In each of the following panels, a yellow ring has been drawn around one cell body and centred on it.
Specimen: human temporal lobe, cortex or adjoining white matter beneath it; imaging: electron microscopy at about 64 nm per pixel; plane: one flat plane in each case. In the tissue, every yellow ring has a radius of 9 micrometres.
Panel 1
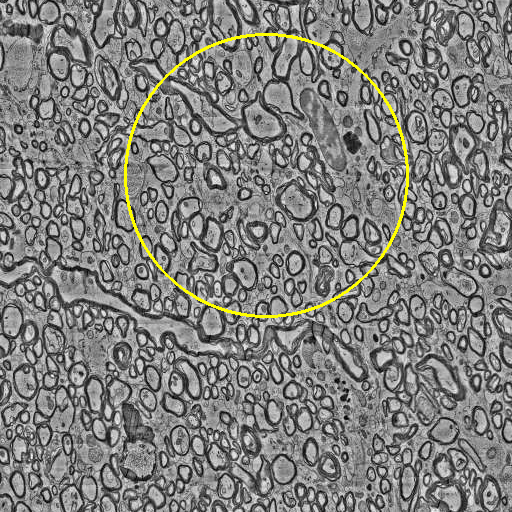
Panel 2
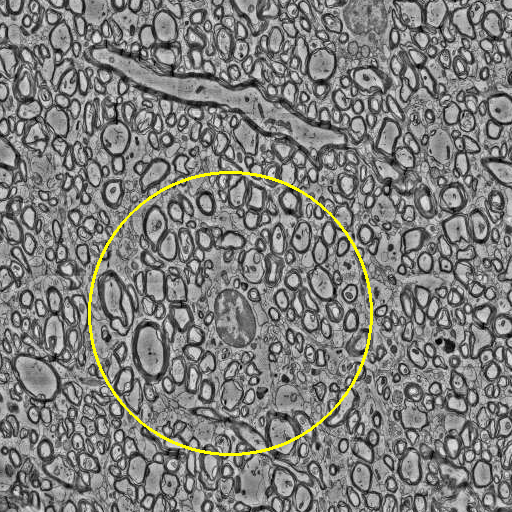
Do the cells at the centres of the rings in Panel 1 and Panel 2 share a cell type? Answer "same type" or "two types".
same type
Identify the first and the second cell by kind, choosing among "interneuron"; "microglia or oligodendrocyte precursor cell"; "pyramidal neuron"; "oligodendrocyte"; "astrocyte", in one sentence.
Each of the two pictures has a microglial cell or oligodendrocyte precursor cell at the ring centre.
